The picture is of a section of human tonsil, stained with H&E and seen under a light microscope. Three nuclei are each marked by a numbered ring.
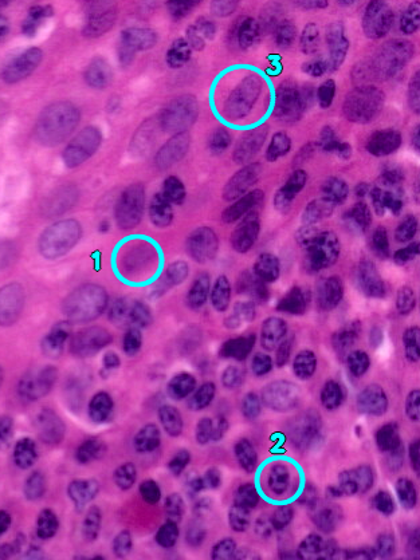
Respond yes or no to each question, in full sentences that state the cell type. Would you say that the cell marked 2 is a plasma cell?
Yes, the numbered cell 2 is identified as a plasma cell.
